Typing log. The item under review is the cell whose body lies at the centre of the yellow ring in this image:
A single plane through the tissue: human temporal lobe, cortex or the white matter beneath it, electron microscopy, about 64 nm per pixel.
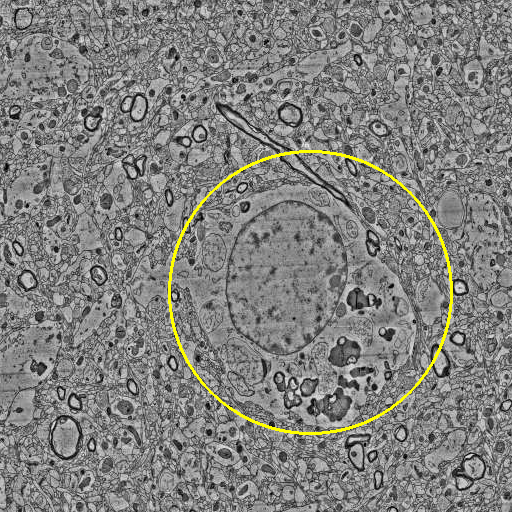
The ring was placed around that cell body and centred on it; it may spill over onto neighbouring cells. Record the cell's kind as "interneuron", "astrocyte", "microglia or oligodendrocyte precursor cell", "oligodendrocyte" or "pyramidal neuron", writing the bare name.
astrocyte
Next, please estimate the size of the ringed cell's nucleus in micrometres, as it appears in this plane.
About 10 by 8 micrometres in this plane.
